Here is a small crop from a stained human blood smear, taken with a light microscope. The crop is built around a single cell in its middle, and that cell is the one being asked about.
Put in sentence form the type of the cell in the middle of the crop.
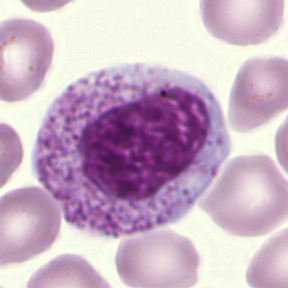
Seen at the centre of the crop is a myelocyte.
